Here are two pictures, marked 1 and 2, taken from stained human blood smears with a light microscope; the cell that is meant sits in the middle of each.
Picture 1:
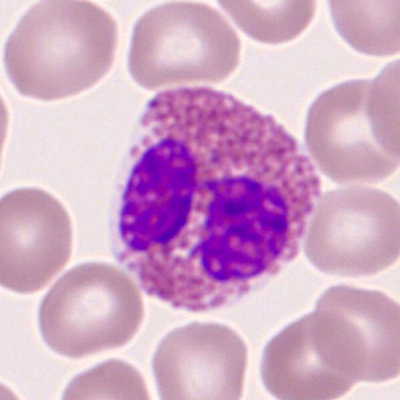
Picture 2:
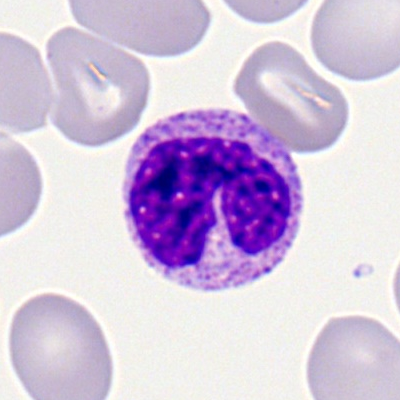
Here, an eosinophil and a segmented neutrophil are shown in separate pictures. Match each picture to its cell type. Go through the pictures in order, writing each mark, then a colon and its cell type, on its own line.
1: eosinophil
2: segmented neutrophil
